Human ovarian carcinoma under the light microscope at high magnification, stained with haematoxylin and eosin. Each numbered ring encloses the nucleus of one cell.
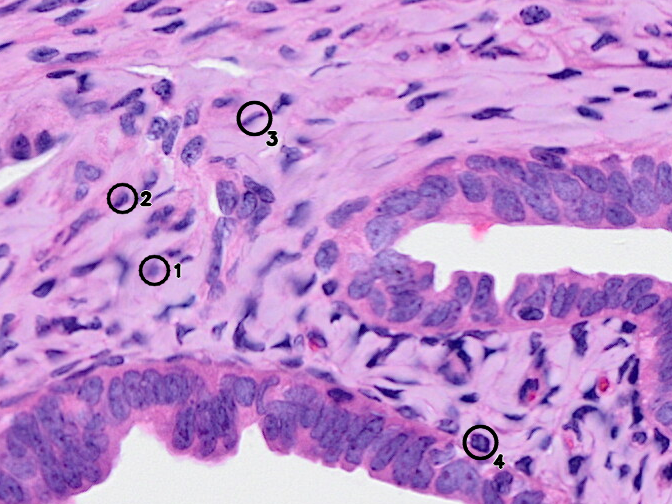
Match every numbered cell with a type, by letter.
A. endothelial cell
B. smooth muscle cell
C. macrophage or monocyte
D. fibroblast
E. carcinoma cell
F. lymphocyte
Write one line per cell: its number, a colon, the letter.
1: B
2: B
3: B
4: F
